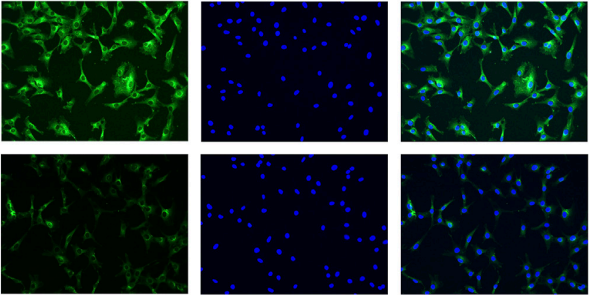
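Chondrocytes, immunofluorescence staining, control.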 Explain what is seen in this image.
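The columns show green staining, blue nuclear staining and the two overlaid. The cells are scattered singly across the field and are flattened, with irregular, polygonal or spindle shapes and several slender processes. Each cell has one round to oval blue nucleus lying near its centre. The green signal fills the cytoplasm around the nucleus and extends into the processes.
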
